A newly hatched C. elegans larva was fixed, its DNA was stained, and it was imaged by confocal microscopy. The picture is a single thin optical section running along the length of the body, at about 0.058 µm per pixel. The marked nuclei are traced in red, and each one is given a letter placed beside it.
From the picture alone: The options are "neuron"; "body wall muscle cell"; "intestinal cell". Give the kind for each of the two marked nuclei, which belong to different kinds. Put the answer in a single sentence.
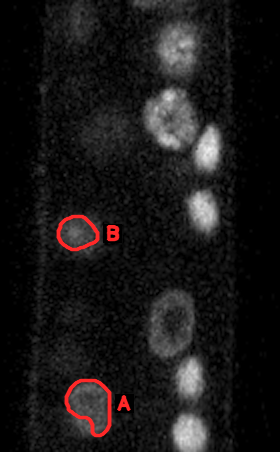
The nucleus A is that of an intestinal cell, while B is that of a body wall muscle cell.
